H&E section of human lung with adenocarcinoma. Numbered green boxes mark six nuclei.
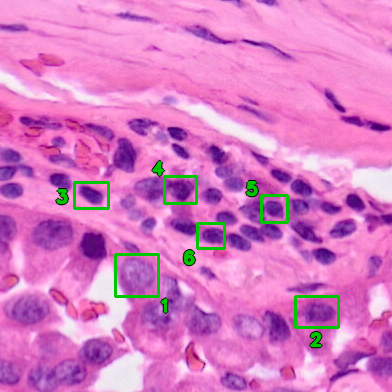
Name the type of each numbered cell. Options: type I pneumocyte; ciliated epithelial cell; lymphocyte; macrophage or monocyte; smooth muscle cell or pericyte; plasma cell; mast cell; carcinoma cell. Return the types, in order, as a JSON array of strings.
["carcinoma cell", "carcinoma cell", "lymphocyte", "plasma cell", "lymphocyte", "lymphocyte"]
